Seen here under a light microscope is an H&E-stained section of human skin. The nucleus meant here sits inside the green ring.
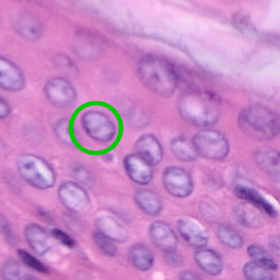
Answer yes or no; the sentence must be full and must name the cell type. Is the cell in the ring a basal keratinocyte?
No, in this section the cell in the ring is a suprabasal keratinocyte and not a basal keratinocyte.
